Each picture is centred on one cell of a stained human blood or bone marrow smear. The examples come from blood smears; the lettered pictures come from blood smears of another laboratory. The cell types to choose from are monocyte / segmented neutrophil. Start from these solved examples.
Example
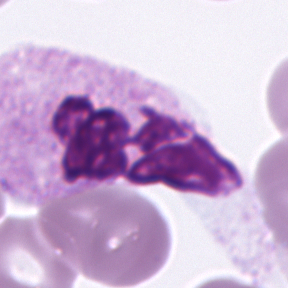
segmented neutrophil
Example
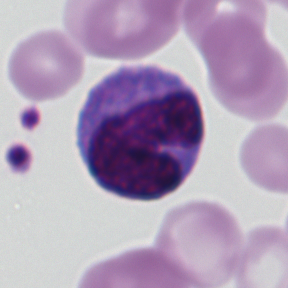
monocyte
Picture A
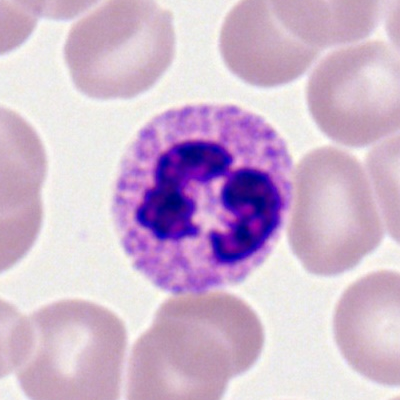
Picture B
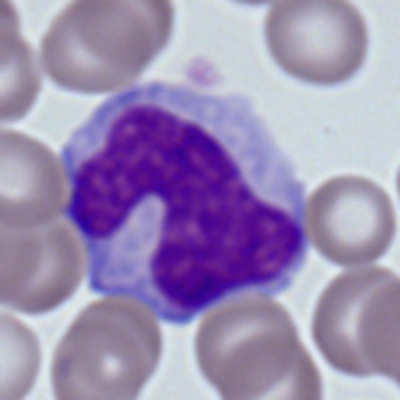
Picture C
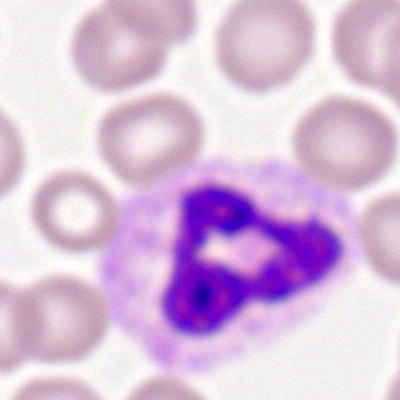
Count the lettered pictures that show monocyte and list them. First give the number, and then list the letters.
Count: 1 (B)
